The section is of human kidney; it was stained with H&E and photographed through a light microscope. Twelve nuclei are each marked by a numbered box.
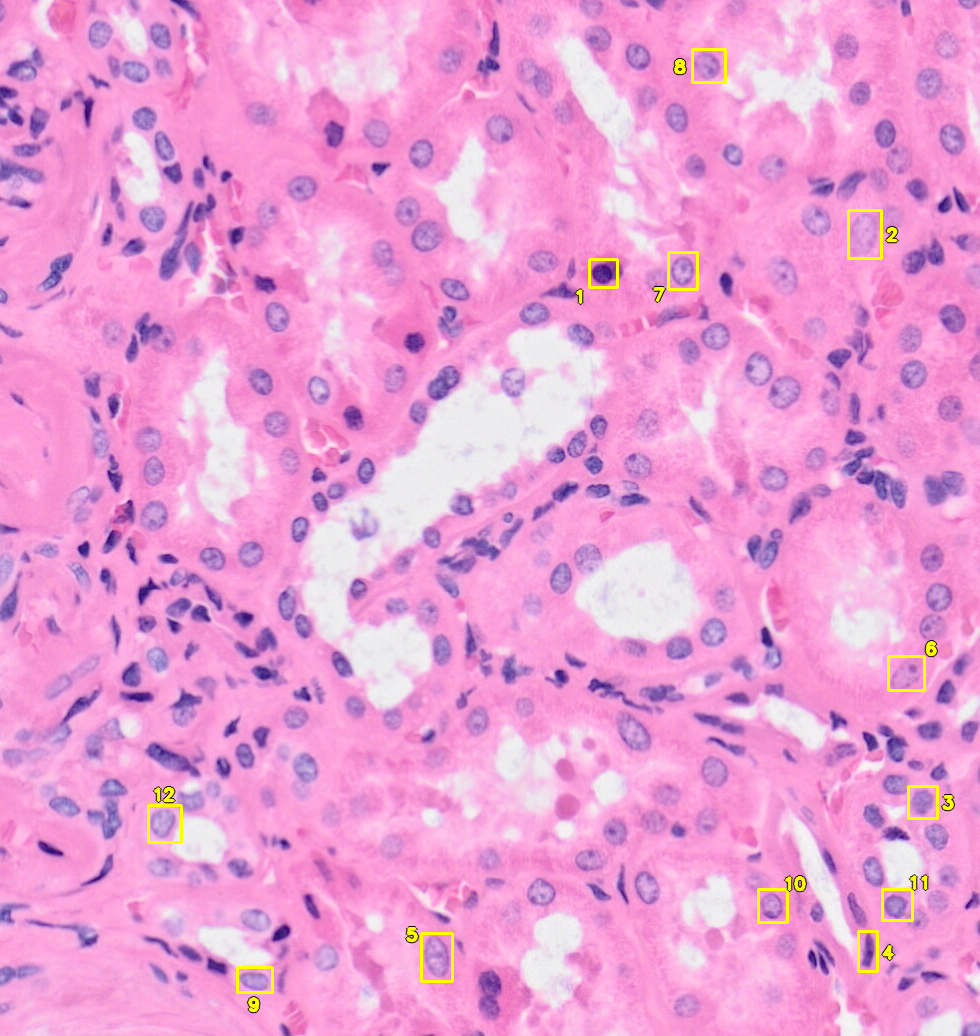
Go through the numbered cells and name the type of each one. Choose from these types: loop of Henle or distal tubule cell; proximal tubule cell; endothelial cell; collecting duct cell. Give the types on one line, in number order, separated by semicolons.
proximal tubule cell; proximal tubule cell; loop of Henle or distal tubule cell; collecting duct cell; proximal tubule cell; proximal tubule cell; proximal tubule cell; proximal tubule cell; collecting duct cell; proximal tubule cell; loop of Henle or distal tubule cell; collecting duct cell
